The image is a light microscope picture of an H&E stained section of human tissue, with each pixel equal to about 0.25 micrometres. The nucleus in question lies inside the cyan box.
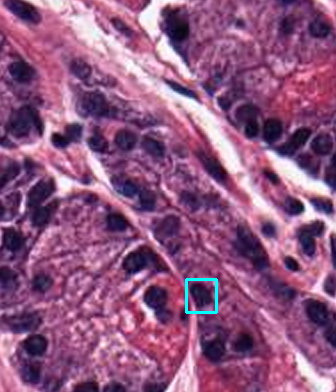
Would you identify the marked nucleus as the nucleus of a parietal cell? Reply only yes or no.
no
